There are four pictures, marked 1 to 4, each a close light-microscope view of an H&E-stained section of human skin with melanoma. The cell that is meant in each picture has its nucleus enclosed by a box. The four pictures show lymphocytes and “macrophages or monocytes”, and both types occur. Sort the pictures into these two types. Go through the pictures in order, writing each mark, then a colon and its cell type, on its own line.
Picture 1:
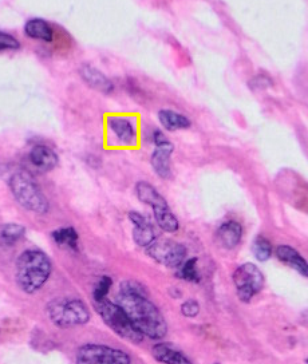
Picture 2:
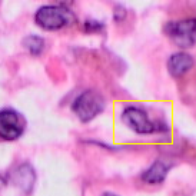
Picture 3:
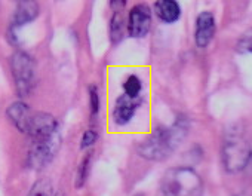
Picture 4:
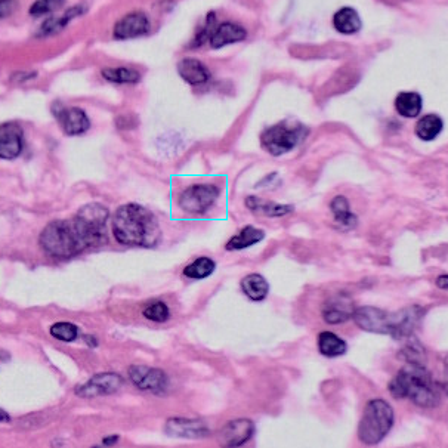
1: macrophage or monocyte
2: macrophage or monocyte
3: lymphocyte
4: macrophage or monocyte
